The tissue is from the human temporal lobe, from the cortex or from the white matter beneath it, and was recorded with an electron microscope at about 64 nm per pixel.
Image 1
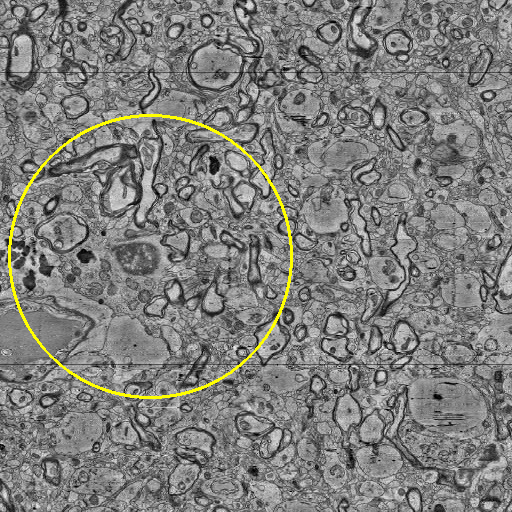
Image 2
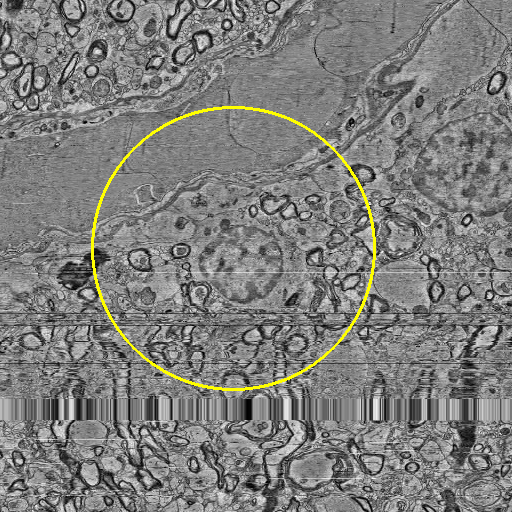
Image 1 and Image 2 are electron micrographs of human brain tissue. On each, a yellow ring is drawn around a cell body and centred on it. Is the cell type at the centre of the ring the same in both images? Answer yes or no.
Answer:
yes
